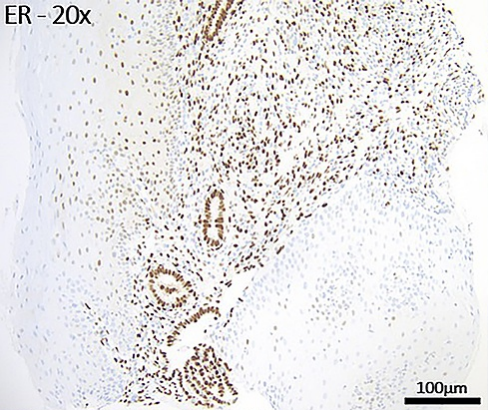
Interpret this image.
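This section shows small glands set in a cellular stroma, flanked by broad sheets of stratified squamous epithelium. The glands are round to oval with an open lumen and are lined by a single row of columnar cells whose nuclei are stained dark brown. The surrounding stroma is densely packed with small spindle and oval cells, most of which also have brown nuclei. The squamous epithelium on either side has many layers of cells with pale cytoplasm, and its nuclei are mostly blue or only faintly brown. The glands cluster in a narrow band of stroma that runs down between the squamous sheets.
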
